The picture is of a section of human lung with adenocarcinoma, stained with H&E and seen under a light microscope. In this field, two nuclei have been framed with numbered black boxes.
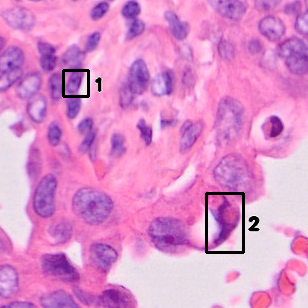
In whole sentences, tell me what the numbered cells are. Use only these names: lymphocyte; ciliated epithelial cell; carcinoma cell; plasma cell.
Cell 1 is a lymphocyte and cell 2 is a carcinoma cell.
